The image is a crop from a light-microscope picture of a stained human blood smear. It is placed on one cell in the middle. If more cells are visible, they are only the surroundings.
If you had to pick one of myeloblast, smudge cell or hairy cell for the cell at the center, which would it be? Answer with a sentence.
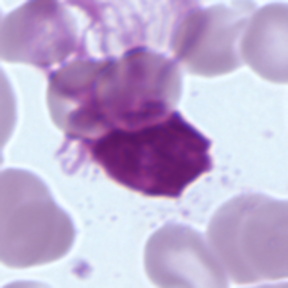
The cell occupying the middle of the crop is a smudge cell.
